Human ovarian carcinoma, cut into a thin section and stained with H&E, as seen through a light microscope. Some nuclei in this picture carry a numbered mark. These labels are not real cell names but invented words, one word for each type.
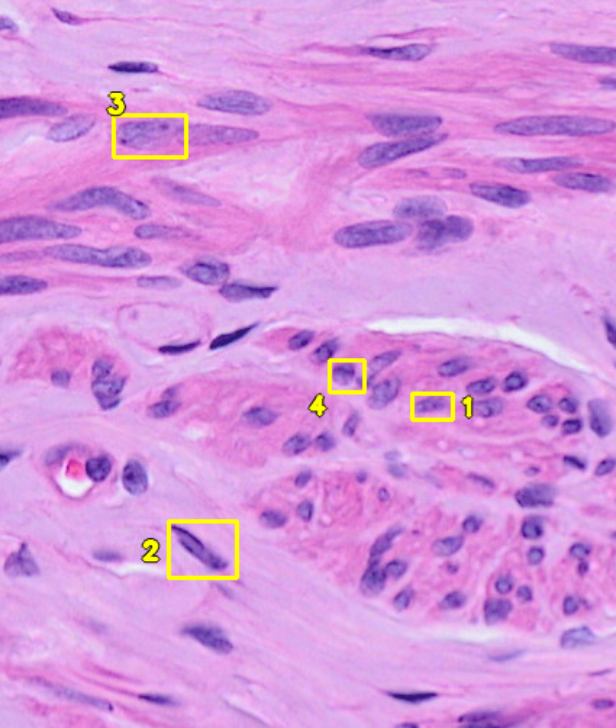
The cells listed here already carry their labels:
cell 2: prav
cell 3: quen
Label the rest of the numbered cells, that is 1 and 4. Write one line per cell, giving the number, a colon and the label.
1: quen
4: quen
